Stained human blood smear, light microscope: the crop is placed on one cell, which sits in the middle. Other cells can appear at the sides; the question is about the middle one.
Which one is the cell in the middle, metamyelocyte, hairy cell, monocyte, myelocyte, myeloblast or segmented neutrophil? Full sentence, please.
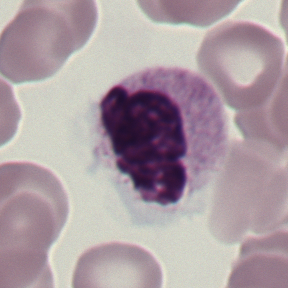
The centrally placed cell is classified as a segmented neutrophil.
